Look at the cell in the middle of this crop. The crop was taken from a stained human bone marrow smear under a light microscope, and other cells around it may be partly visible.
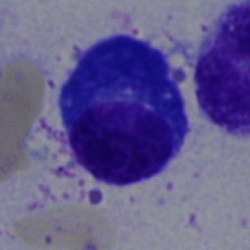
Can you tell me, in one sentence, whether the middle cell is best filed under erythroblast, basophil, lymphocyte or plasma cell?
The cell in the middle of the field of view is a plasma cell.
